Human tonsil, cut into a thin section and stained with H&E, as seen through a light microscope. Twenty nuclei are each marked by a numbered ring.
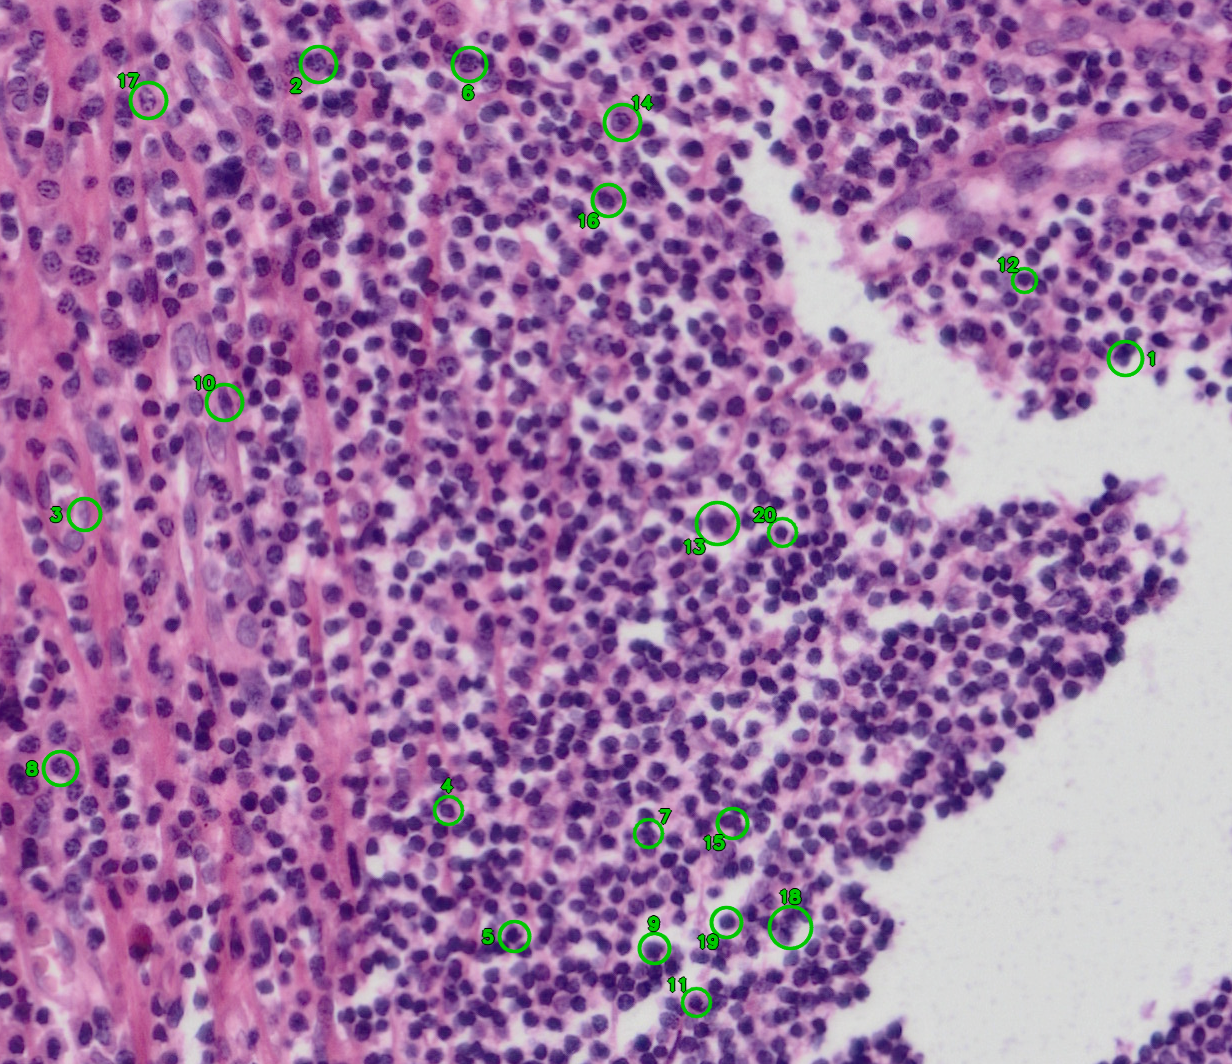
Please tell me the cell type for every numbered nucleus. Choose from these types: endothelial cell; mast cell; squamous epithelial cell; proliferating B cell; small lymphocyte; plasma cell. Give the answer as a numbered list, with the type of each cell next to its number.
1. small lymphocyte
2. plasma cell
3. endothelial cell
4. small lymphocyte
5. small lymphocyte
6. plasma cell
7. small lymphocyte
8. plasma cell
9. small lymphocyte
10. endothelial cell
11. small lymphocyte
12. small lymphocyte
13. proliferating B cell
14. plasma cell
15. small lymphocyte
16. plasma cell
17. plasma cell
18. small lymphocyte
19. small lymphocyte
20. small lymphocyte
